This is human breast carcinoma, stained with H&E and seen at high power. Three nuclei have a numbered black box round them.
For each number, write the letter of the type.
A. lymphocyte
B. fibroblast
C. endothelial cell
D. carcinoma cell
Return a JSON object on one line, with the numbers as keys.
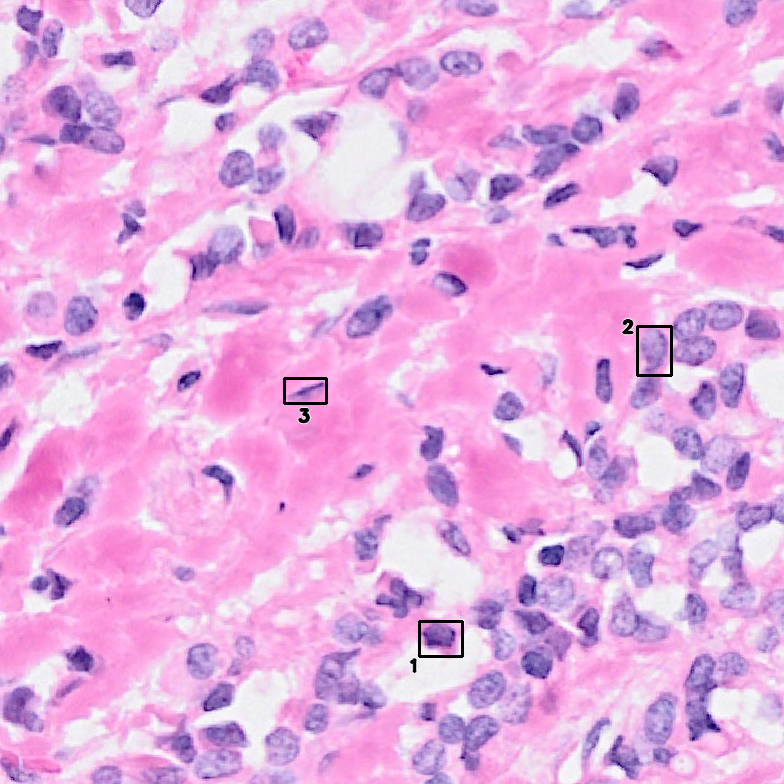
{"1": "D", "2": "D", "3": "B"}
